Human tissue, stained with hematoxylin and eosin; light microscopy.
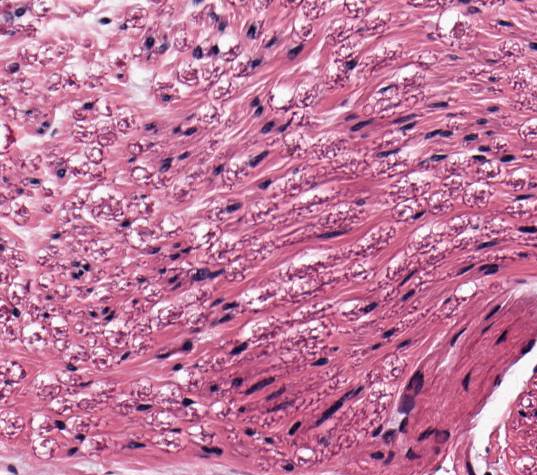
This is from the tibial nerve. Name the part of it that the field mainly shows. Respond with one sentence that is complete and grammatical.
The part in view in this section is nerve fascicle.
